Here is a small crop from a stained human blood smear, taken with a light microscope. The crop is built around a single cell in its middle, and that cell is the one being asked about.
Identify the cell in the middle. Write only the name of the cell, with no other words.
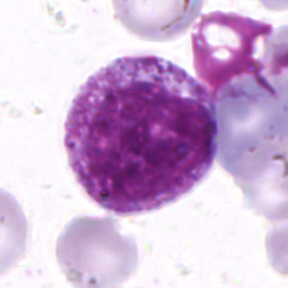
myelocyte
